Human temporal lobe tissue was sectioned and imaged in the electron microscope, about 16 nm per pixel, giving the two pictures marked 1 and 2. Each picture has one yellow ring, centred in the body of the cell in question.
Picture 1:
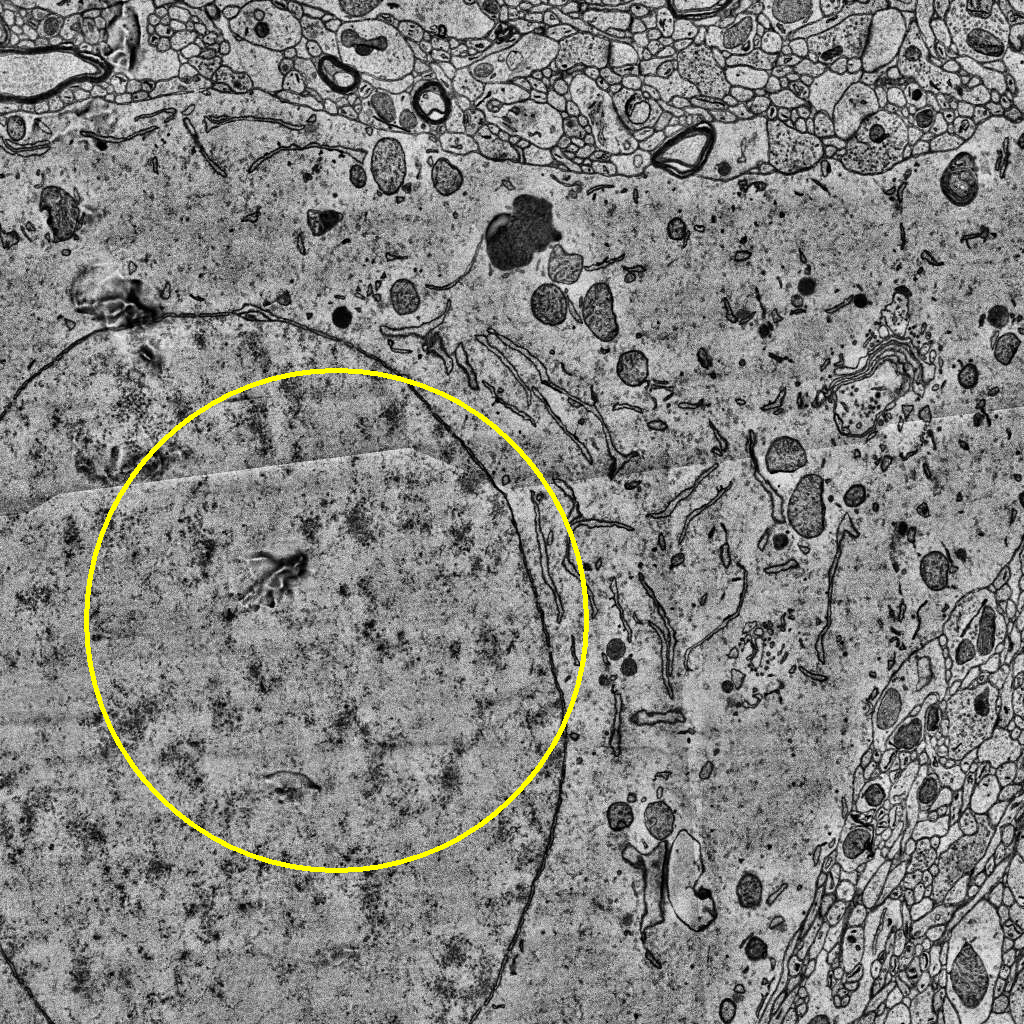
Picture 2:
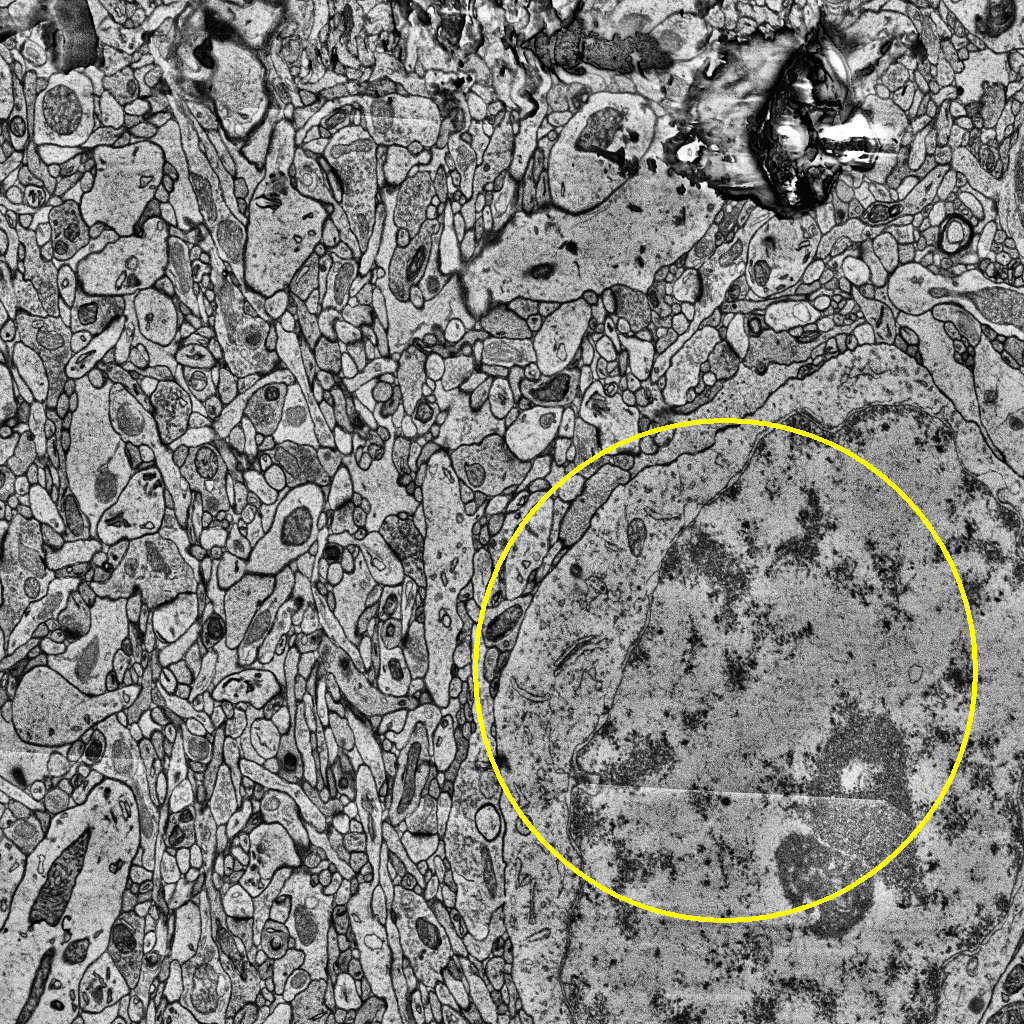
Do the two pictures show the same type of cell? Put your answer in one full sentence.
No; the cell in picture 1 is a pyramidal neuron, while the one in picture 2 is an interneuron.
